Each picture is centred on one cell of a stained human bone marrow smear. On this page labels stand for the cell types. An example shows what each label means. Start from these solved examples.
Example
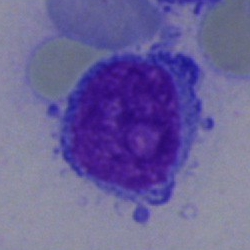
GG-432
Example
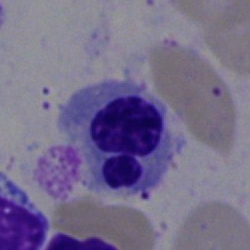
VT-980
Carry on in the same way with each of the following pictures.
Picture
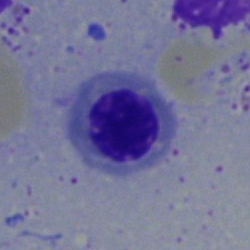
VT-980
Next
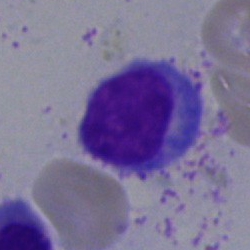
GG-432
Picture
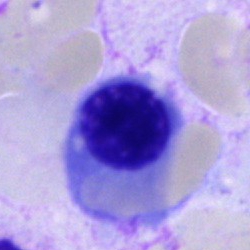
VT-980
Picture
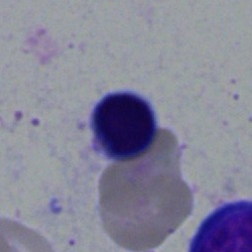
VT-980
